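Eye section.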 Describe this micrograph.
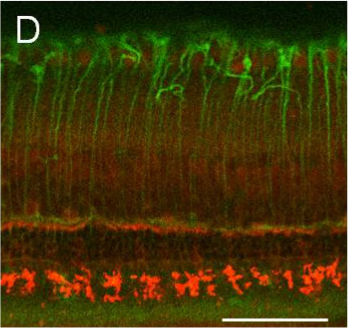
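A vertical section through the layered retina, with its inner surface at the top and the pigment epithelium at the bottom. Faint reddish round cell bodies lie in rows near the top and in the inner nuclear layer. At the bottom, just above the pigment epithelium, bright red irregular clumps form a fairly continuous band across the section.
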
